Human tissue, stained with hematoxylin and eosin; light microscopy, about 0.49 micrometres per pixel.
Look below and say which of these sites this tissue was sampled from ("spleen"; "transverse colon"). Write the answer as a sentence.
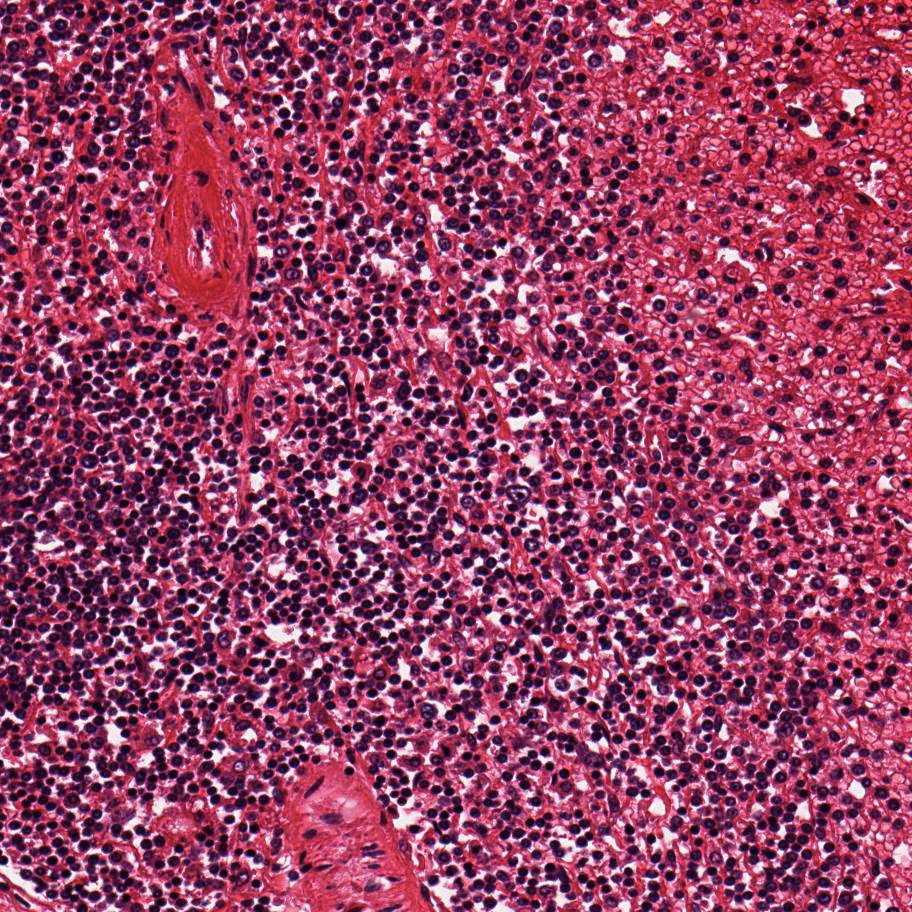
The site this tissue was sampled from is the spleen.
